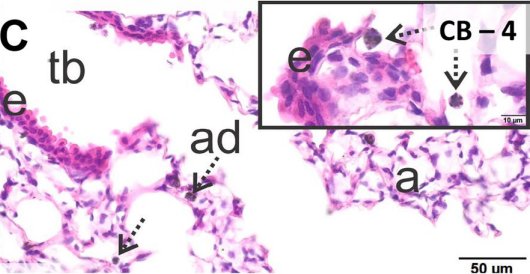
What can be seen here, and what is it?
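This is the centriacinar lung, where a terminal bronchiole lined by a pink-staining cuboidal epithelium opens into an alveolar duct surrounded by thin-walled alveoli. The inset shows such cells at higher power next to the bronchiolar epithelium, their dark cytoplasmic material clearly standing out against the pink tissue. The alveolar walls themselves remain thin and delicate.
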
